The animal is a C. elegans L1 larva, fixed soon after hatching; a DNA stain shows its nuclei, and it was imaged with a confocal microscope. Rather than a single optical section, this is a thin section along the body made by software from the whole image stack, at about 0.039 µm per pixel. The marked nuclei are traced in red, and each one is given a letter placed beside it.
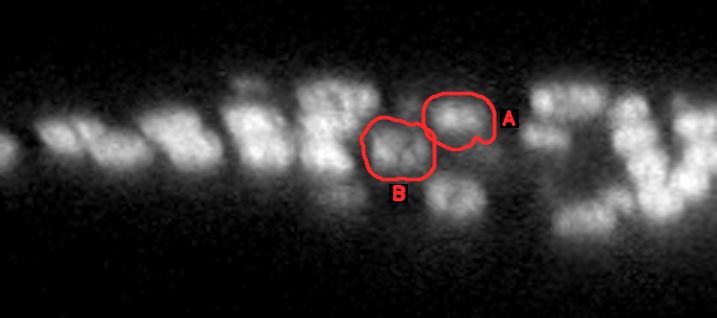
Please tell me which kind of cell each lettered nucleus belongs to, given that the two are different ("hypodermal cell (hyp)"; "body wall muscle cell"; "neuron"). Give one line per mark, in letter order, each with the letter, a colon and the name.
A: body wall muscle cell
B: hypodermal cell (hyp)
